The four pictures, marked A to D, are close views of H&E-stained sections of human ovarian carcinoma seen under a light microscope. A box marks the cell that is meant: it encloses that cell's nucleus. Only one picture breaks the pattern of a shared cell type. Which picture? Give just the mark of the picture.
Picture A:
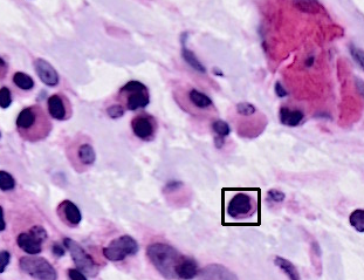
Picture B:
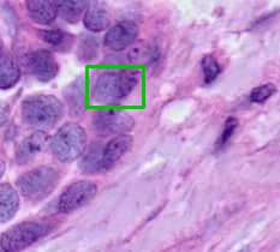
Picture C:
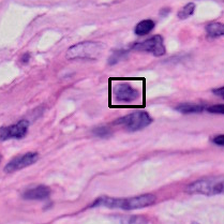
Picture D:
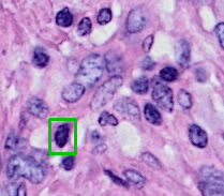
B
